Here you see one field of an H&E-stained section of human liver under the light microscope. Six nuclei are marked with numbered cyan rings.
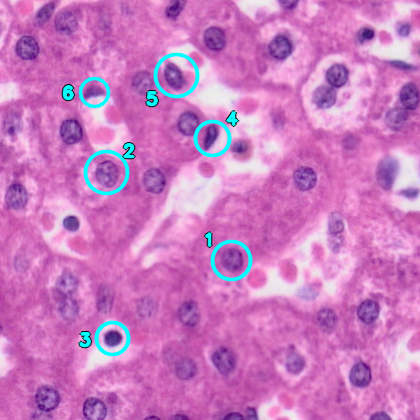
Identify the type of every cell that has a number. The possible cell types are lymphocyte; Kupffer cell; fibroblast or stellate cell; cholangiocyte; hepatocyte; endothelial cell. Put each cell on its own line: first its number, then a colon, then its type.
1: hepatocyte
2: hepatocyte
3: lymphocyte
4: fibroblast or stellate cell
5: Kupffer cell
6: endothelial cell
